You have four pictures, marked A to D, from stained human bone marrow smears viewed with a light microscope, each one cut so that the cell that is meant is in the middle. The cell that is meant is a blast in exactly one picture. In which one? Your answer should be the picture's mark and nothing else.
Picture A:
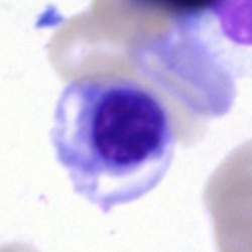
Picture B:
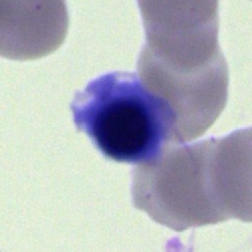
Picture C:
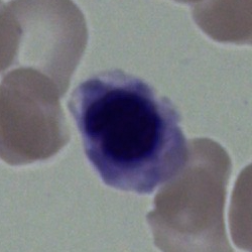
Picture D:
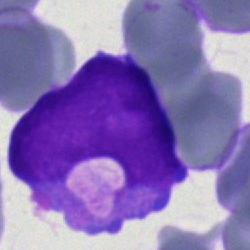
D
